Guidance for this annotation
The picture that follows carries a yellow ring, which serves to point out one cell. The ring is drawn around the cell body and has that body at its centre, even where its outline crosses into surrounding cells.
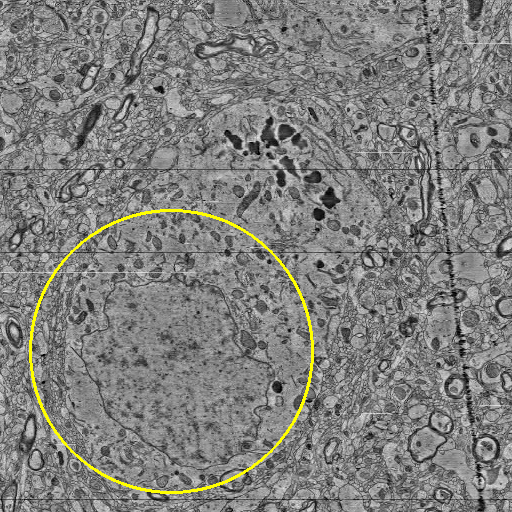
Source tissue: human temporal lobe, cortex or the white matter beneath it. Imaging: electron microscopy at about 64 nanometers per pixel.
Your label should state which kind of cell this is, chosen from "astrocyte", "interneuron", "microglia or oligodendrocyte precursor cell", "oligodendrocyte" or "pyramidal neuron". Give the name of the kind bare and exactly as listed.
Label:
pyramidal neuron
